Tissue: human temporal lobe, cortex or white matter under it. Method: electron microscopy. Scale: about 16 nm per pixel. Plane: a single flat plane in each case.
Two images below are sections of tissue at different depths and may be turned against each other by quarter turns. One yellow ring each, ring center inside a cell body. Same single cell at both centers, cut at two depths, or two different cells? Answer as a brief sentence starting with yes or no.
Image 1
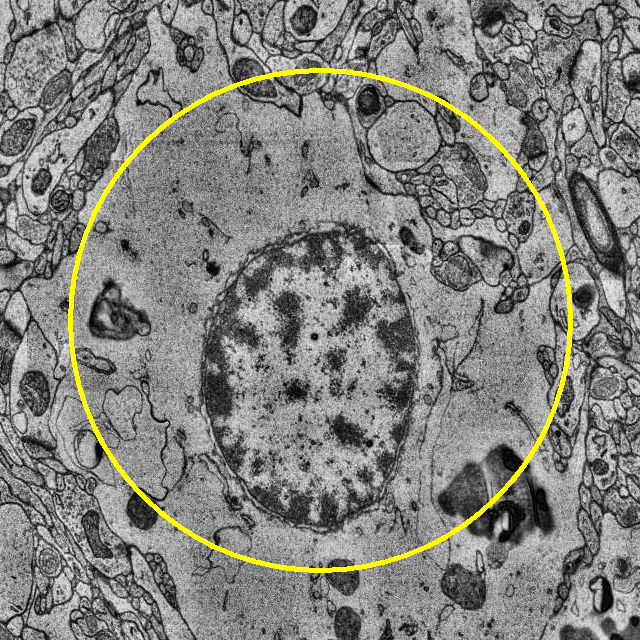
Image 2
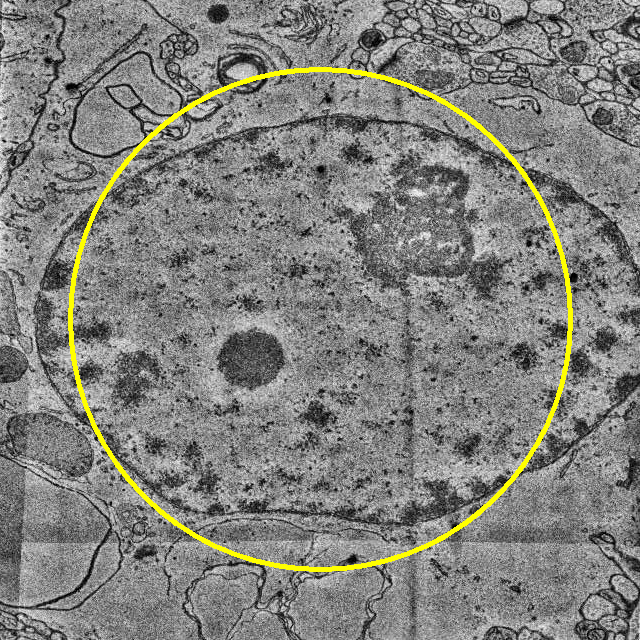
No, the two yellow rings correspond to two separate cells.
